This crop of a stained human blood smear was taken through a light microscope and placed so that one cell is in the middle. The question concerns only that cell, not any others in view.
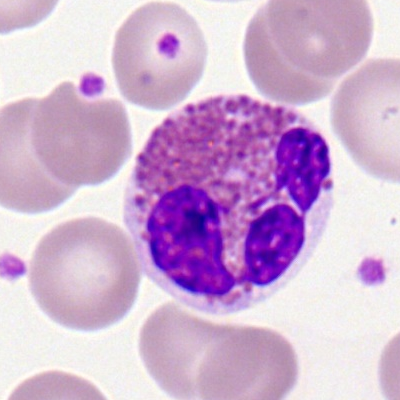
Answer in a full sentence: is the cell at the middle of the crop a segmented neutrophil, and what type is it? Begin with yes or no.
No, the central cell is classed as an eosinophil, not a segmented neutrophil.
